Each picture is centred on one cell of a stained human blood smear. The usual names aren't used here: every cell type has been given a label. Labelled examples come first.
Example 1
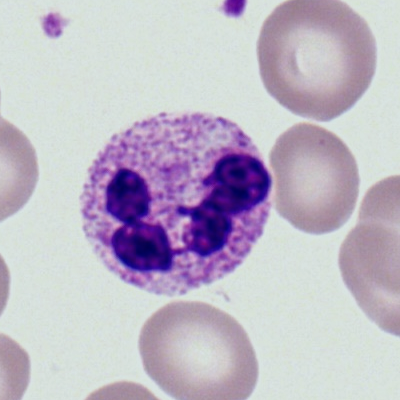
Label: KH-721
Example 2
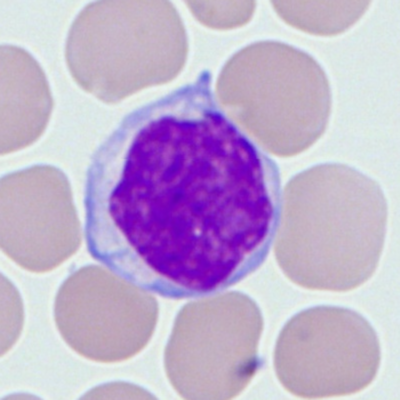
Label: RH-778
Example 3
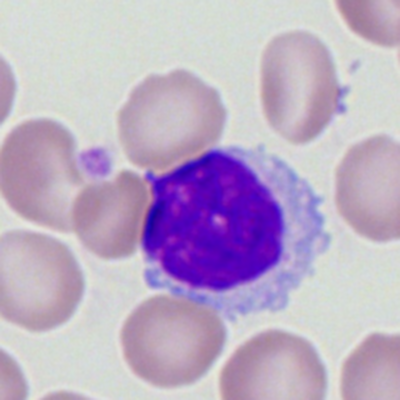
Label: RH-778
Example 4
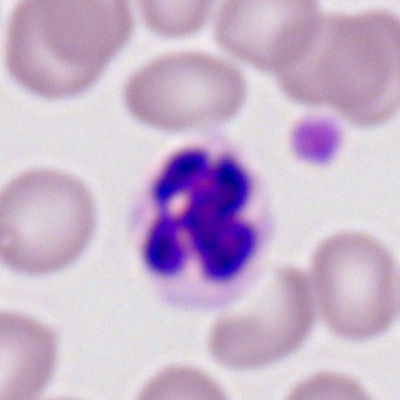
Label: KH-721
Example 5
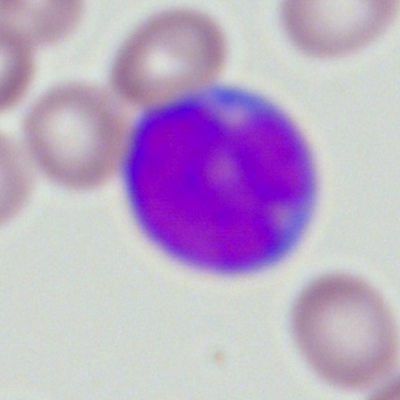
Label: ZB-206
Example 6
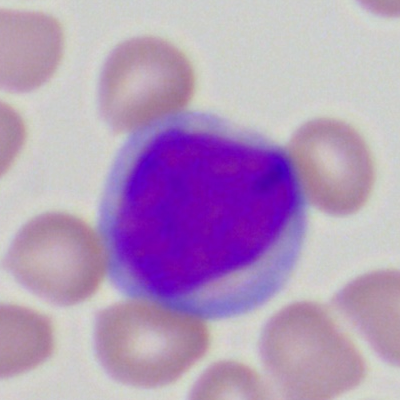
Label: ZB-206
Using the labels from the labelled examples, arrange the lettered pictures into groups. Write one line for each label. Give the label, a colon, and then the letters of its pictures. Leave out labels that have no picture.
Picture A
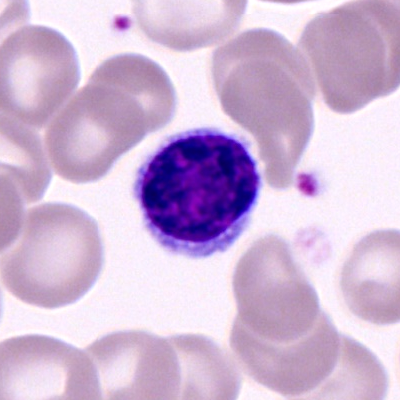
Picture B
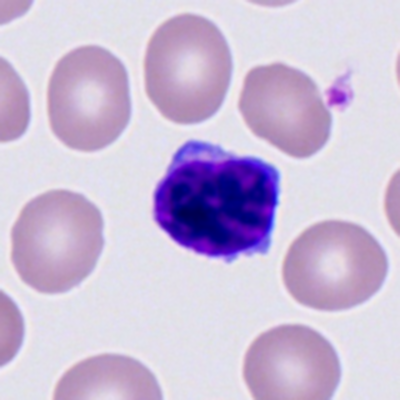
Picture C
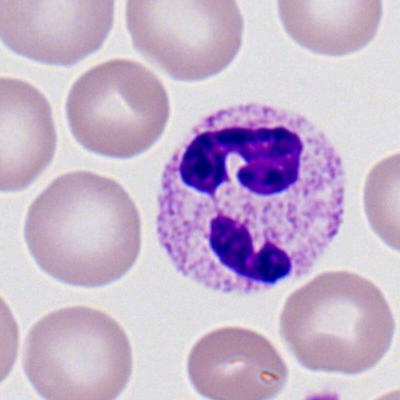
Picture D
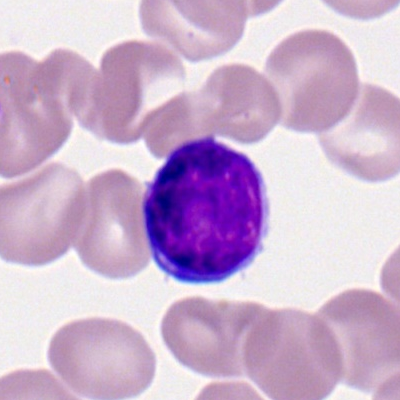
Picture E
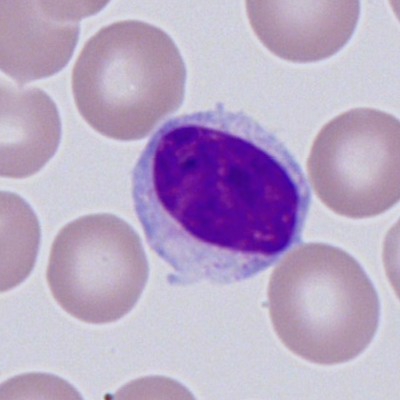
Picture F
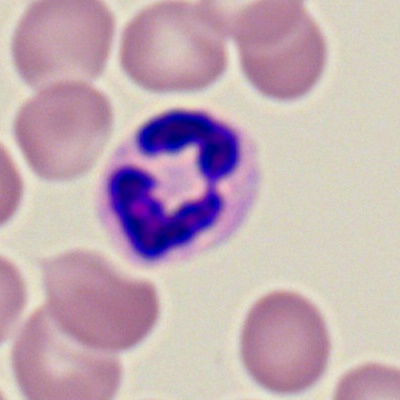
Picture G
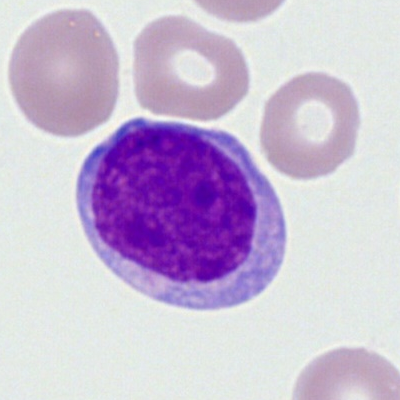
KH-721: C, F
RH-778: A, B, D, E
ZB-206: G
